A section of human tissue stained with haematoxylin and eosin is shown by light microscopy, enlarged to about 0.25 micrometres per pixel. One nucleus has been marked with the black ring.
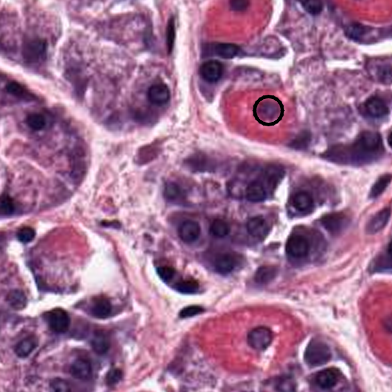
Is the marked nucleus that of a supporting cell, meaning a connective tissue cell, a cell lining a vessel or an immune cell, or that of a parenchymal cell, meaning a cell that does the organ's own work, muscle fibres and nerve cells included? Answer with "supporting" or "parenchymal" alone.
parenchymal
